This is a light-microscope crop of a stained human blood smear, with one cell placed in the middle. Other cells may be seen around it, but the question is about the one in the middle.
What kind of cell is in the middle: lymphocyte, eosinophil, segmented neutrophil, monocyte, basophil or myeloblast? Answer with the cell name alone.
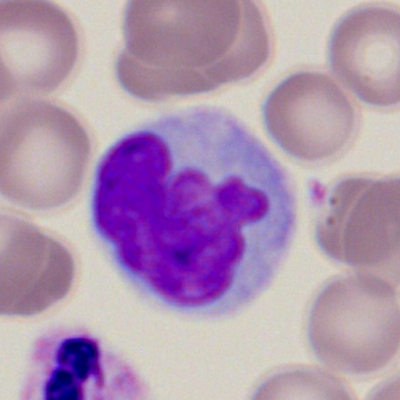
monocyte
